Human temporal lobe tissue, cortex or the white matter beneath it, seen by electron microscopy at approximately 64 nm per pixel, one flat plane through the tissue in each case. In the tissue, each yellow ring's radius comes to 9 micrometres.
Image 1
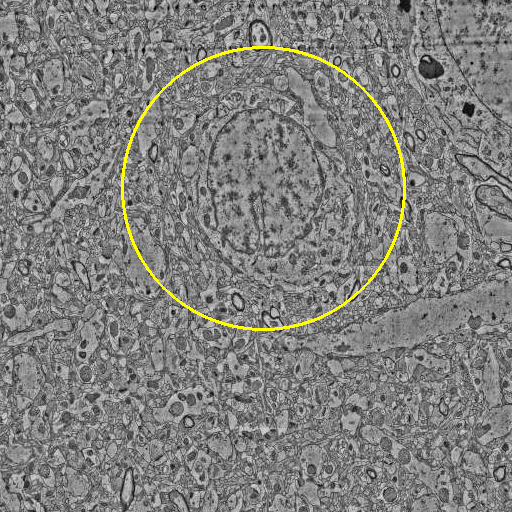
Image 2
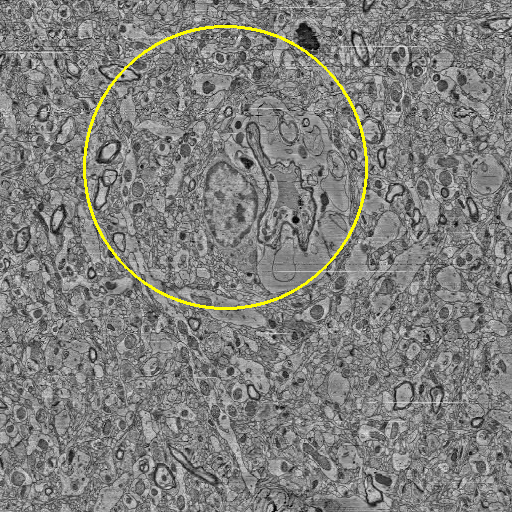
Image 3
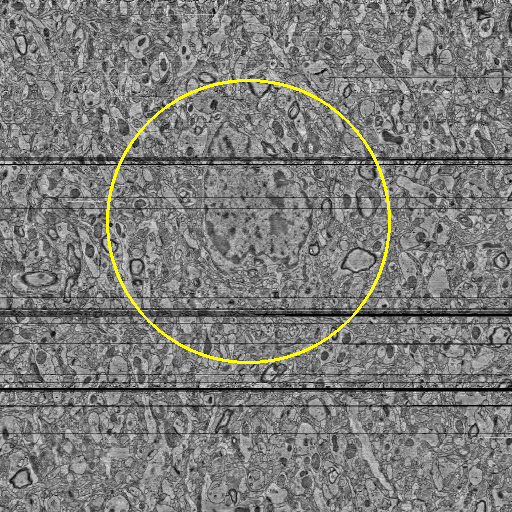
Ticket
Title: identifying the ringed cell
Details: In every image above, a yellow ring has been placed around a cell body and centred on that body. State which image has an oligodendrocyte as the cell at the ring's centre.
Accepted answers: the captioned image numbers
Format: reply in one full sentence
The ring in image 2 is centred on the cell in question.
